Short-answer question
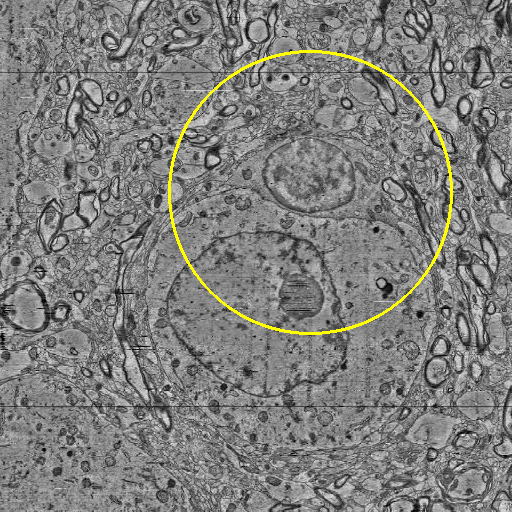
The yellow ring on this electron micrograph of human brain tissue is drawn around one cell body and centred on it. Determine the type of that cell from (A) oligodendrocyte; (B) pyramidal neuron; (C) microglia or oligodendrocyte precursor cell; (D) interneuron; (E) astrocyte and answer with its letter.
A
